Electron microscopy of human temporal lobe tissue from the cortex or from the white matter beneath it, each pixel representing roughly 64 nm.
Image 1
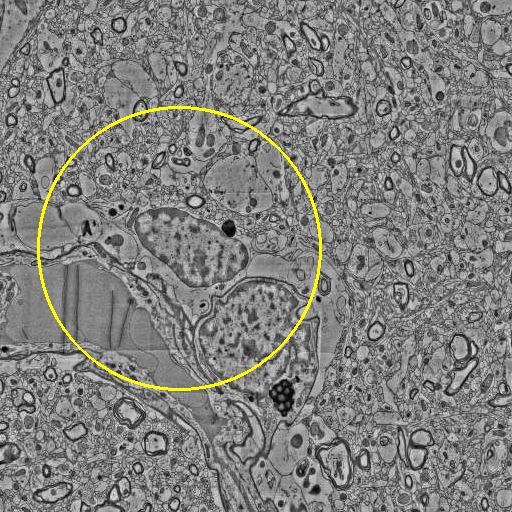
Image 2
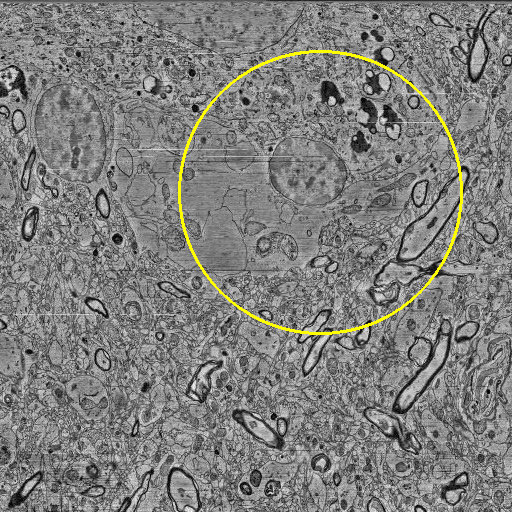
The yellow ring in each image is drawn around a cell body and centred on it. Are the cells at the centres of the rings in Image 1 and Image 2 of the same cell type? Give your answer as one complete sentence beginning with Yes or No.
Yes, both cells are of the same type.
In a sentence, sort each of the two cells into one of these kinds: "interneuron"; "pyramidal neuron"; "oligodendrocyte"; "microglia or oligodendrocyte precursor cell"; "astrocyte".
Each of the two rings is centred on a microglial cell or oligodendrocyte precursor cell.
